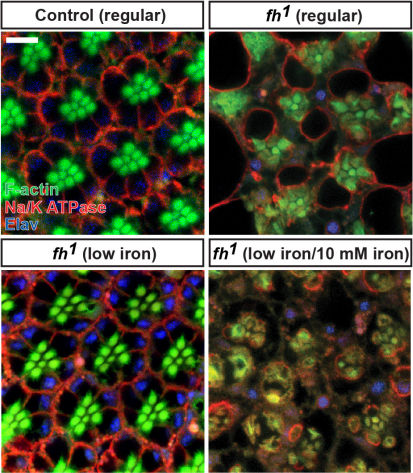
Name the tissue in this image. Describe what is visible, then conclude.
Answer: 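Retina. Repeating clusters of small green dots, each cluster enclosed by red outlines. The clusters form a regular, honeycomb-like array in the better-preserved images.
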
